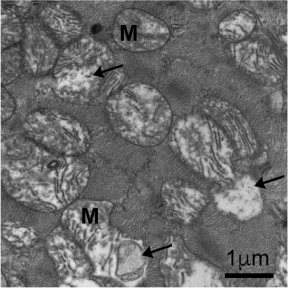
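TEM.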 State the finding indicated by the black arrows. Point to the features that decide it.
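The arrows point to pale, empty-looking areas inside mitochondria. Cristae around these areas are disorganised and sparse. The pale areas bulge the mitochondrial profile outward.
Mitochondrial cristae deformation with balloon expansion.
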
